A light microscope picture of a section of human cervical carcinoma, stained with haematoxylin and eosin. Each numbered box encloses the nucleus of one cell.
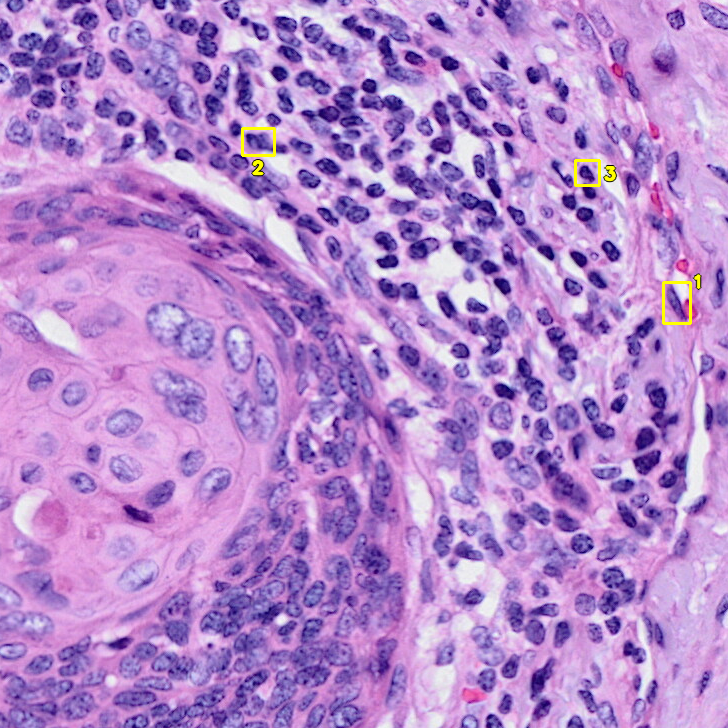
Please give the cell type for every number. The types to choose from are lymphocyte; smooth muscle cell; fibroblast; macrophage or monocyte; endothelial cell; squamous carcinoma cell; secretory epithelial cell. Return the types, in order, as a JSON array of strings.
["endothelial cell", "lymphocyte", "lymphocyte"]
